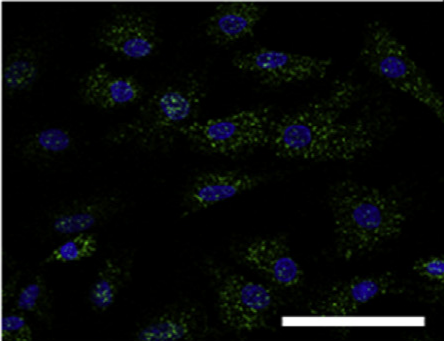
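The cells are spread and irregularly polygonal to spindle shaped, scattered with dark spaces between them. Each has one oval blue nucleus, usually central. The green signal is finely granular and punctate, filling the cytoplasm around the nucleus and extending towards the cell margins, which are outlined faintly by it. Some green dots also appear over the nuclei. The intensity of the green varies from cell to cell.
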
